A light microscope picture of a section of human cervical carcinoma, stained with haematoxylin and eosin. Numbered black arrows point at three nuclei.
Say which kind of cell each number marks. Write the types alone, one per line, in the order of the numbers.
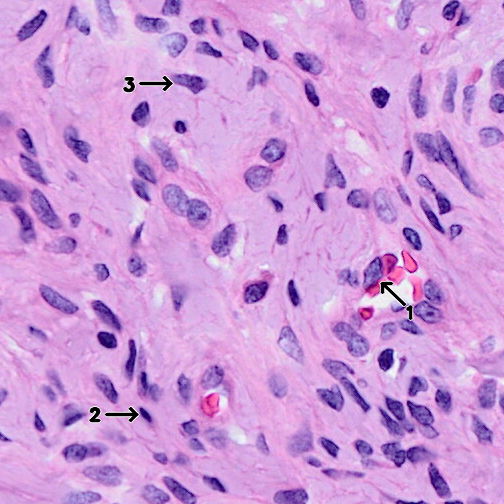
endothelial cell
fibroblast
fibroblast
